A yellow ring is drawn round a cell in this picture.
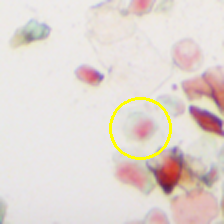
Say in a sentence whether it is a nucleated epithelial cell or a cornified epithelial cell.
The cell in the ring is a nucleated epithelial cell.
